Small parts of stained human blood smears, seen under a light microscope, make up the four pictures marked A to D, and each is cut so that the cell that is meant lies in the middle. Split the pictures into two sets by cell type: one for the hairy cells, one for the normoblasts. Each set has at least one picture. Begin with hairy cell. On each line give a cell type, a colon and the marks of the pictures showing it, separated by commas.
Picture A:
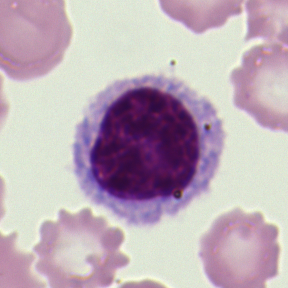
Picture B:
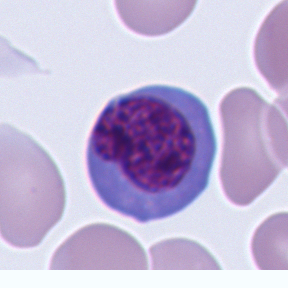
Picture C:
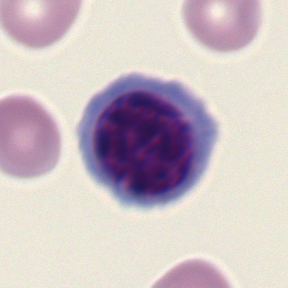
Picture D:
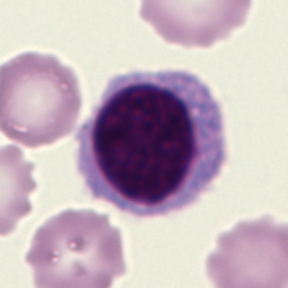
hairy cell: A, D
normoblast: B, C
